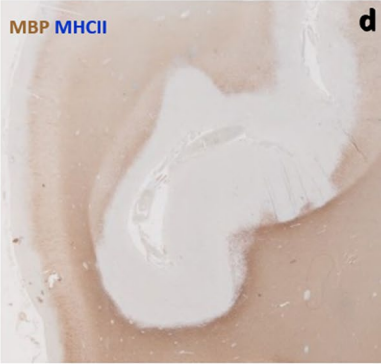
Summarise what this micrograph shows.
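This low-power view of cerebral cortex shows a folded sulcus. A large, sharply bordered region beneath the pial surface along the sulcus has lost its brown staining and appears almost white. This is extended subpial demyelination. A few torn clefts lie within the pale region, and small vessel profiles appear as holes in the brown tissue. Single cells are not resolved at this magnification.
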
